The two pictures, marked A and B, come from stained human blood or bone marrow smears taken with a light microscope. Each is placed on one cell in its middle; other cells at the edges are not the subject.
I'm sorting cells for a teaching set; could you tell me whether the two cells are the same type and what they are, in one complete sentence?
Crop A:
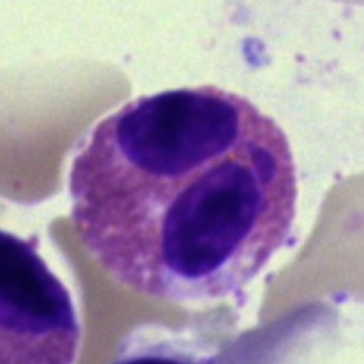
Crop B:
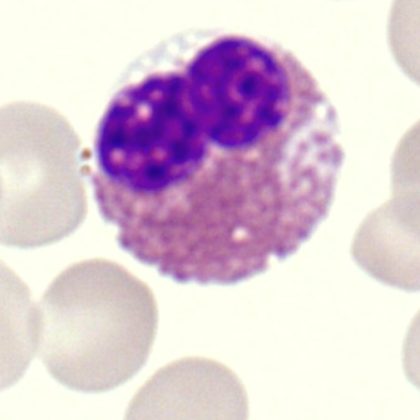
Yes, both crops have eosinophils as their central cells.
